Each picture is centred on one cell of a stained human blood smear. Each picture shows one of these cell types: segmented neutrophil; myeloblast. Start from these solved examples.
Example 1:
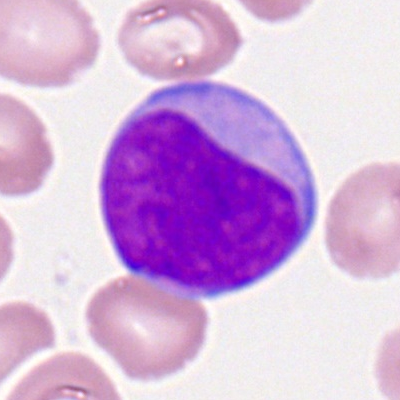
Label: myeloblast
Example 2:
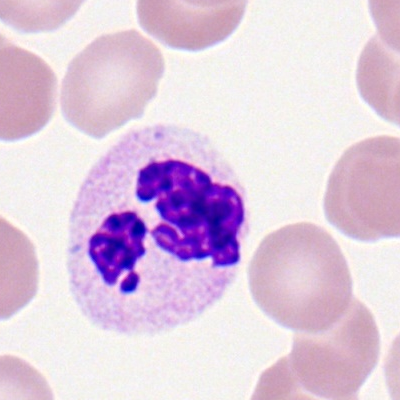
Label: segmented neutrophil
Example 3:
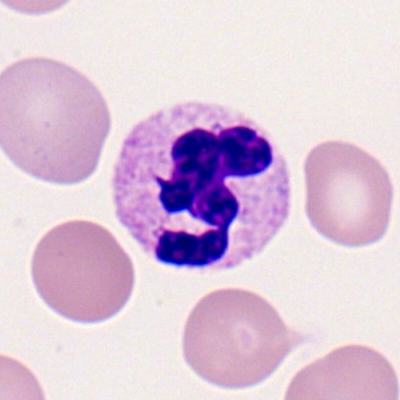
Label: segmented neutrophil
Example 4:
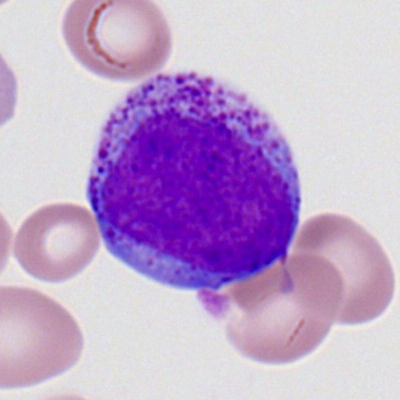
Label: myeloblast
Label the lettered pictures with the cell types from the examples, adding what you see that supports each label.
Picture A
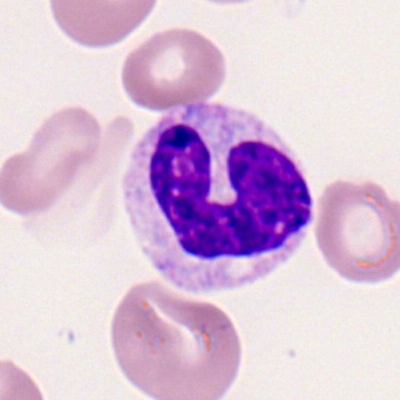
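Answer: segmented neutrophil. The nucleus is a single unsegmented band bent into a horseshoe that opens toward the top.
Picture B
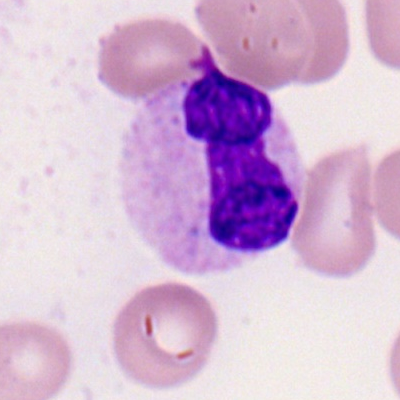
Answer: segmented neutrophil. The cytoplasm is abundant and pale pinkish-lilac.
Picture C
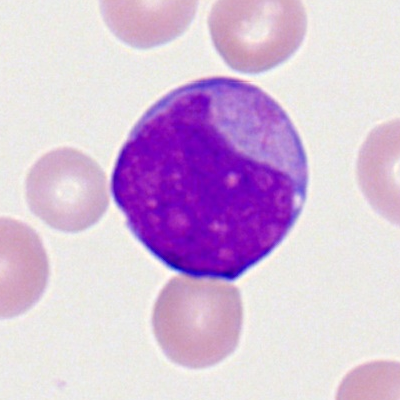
Answer: myeloblast. The nucleus fills most of the cell, leaving the cytoplasm mainly as a crescent at the upper right.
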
